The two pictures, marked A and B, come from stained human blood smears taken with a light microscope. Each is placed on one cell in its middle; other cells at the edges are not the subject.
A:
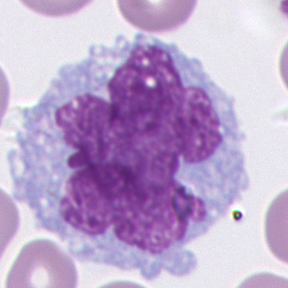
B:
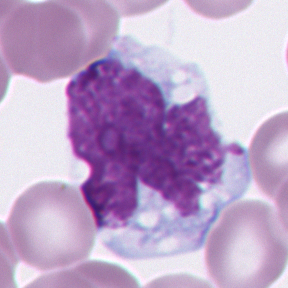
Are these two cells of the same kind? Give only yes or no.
yes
